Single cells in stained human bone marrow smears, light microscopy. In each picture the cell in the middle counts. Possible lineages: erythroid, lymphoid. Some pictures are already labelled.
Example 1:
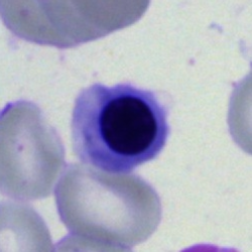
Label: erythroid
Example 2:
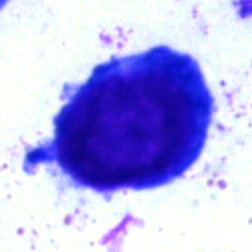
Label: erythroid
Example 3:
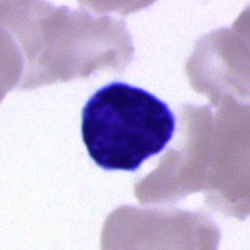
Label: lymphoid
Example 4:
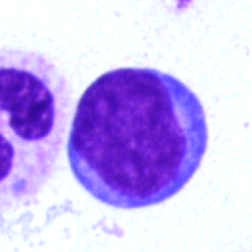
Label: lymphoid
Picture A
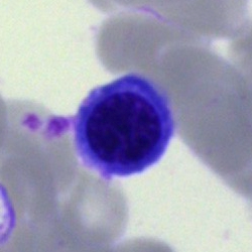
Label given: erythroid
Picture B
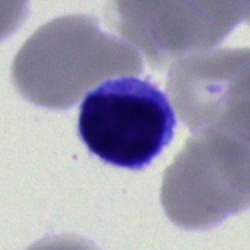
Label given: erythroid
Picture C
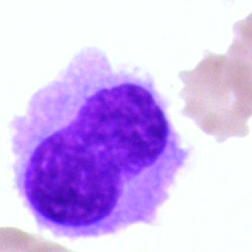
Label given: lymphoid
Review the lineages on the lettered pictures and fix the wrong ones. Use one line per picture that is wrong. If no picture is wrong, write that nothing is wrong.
B: lymphoid, not erythroid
